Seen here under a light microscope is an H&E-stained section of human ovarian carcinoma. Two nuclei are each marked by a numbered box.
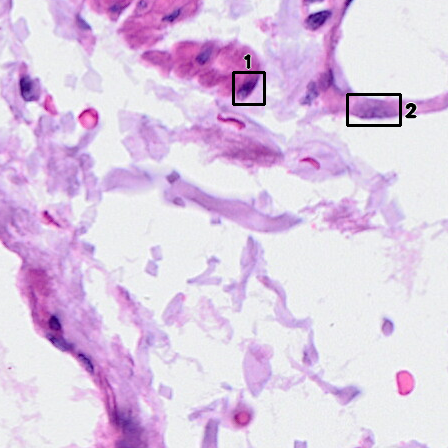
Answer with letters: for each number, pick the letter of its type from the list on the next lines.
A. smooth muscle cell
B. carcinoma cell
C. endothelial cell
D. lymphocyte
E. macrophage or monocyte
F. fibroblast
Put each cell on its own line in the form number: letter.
1: A
2: C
